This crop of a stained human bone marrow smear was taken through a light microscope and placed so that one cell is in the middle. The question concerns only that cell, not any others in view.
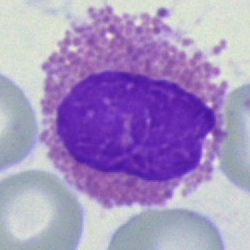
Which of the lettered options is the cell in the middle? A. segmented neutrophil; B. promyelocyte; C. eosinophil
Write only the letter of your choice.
C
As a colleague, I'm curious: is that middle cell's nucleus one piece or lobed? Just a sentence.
Its nucleus is compact and single, with a round, oval or kidney-shaped form.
